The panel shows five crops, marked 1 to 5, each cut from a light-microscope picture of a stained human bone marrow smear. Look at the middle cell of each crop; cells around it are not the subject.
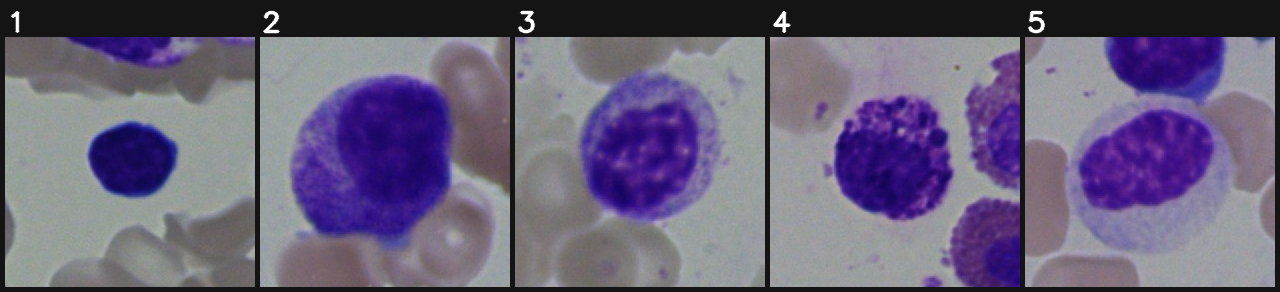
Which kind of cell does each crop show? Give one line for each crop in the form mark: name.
1: lymphocyte
2: promyelocyte
3: myelocyte
4: basophil
5: metamyelocyte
